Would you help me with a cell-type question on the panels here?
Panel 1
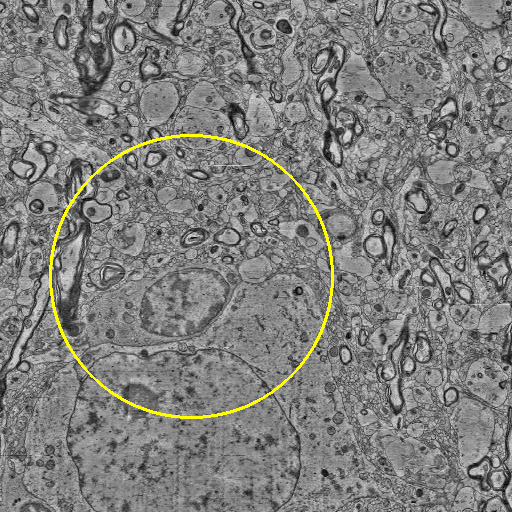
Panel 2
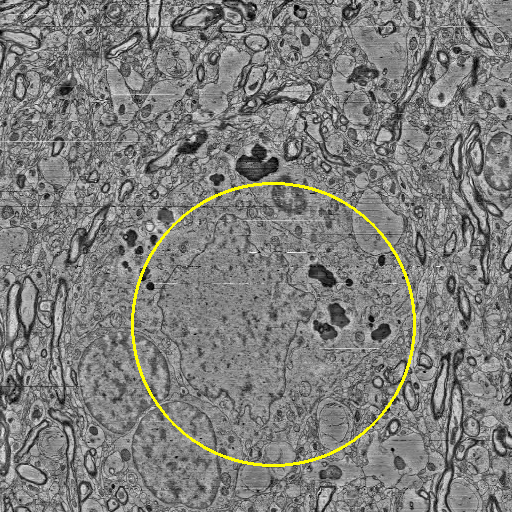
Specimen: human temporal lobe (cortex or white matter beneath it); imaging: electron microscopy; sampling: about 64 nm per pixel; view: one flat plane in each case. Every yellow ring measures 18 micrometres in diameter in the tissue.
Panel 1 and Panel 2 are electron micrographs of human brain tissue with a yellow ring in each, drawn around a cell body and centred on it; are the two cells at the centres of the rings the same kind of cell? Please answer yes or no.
no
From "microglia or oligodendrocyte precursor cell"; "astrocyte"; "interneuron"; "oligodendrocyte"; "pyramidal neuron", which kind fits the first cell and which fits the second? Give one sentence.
The cell marked in the first picture is an oligodendrocyte, and the one marked in the second is a pyramidal neuron.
